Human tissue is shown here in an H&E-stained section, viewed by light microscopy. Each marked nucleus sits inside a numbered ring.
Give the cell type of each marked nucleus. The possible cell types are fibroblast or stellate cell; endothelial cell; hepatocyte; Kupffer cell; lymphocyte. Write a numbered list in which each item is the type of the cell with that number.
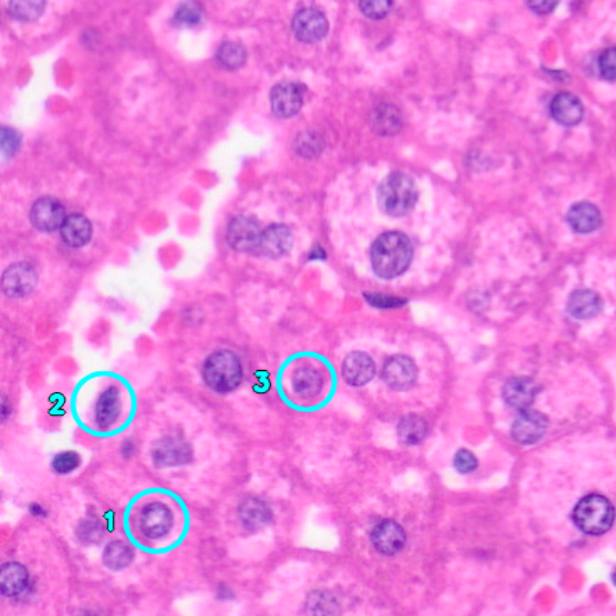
1. hepatocyte
2. Kupffer cell
3. hepatocyte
